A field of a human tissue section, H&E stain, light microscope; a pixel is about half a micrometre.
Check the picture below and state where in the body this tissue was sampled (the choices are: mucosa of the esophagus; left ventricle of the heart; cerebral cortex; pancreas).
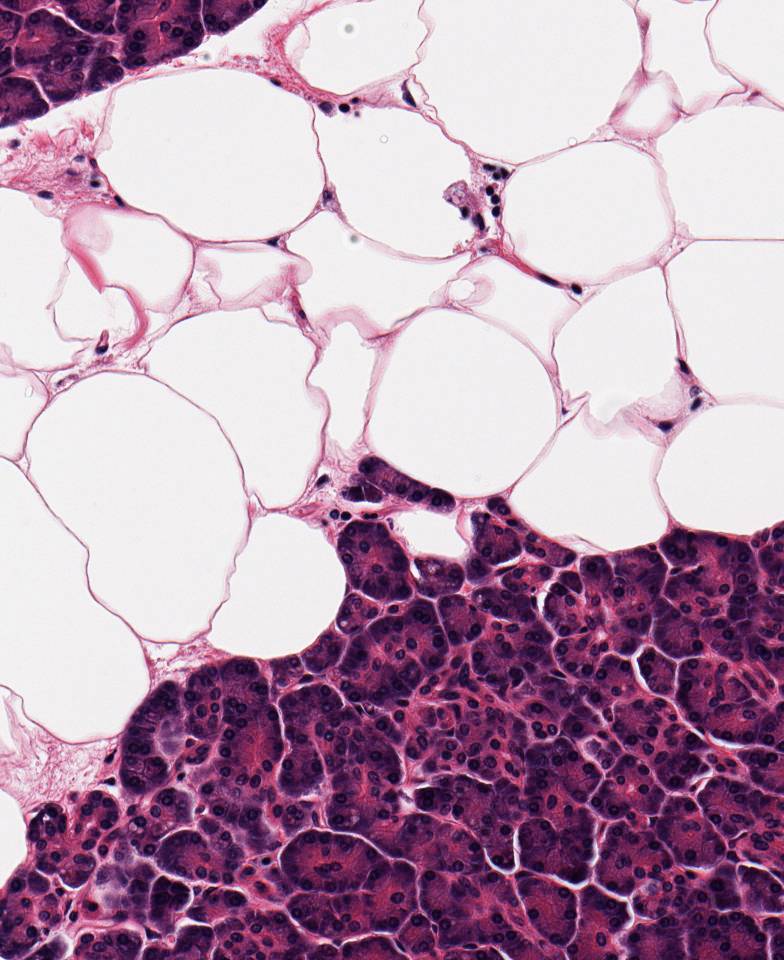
pancreas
